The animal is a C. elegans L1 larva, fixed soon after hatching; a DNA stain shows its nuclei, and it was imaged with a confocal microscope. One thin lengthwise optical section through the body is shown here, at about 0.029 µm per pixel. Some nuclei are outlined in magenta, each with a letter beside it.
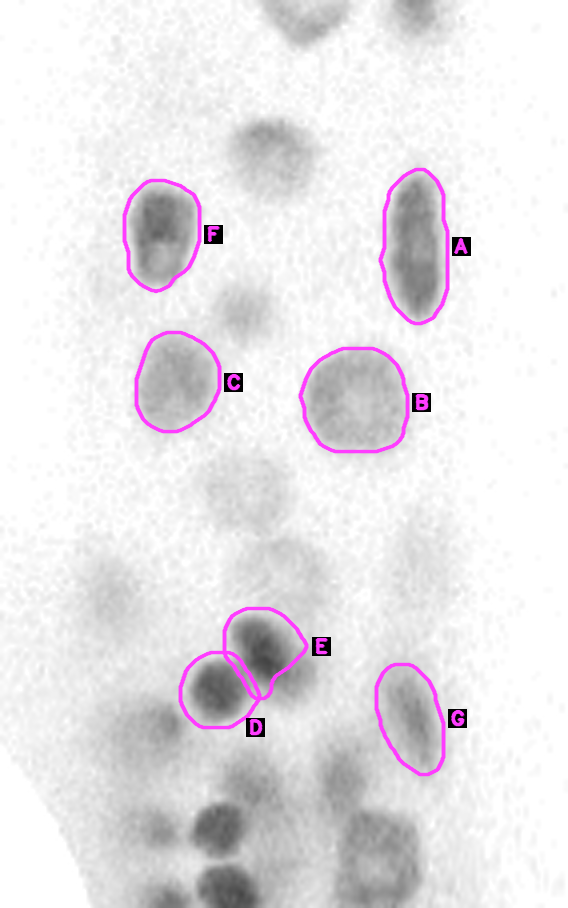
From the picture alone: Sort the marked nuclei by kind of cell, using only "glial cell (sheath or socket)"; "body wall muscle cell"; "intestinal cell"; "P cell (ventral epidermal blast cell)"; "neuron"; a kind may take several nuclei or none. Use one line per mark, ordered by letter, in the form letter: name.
A: body wall muscle cell
B: intestinal cell
C: intestinal cell
D: neuron
E: glial cell (sheath or socket)
F: body wall muscle cell
G: body wall muscle cell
